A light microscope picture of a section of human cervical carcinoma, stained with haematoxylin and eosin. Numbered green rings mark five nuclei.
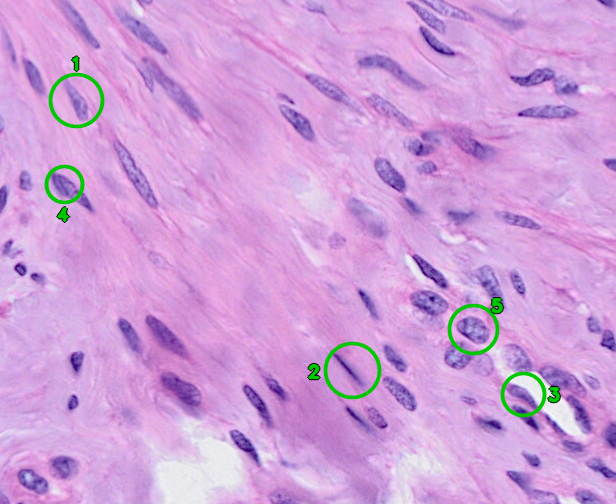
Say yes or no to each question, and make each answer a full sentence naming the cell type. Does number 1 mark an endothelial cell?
No, at number 1 sits a smooth muscle cell, not an endothelial cell.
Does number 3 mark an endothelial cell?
Yes, the numbered cell 3 is an endothelial cell.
